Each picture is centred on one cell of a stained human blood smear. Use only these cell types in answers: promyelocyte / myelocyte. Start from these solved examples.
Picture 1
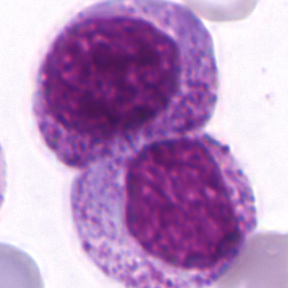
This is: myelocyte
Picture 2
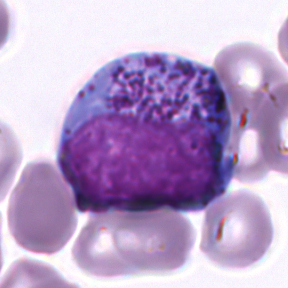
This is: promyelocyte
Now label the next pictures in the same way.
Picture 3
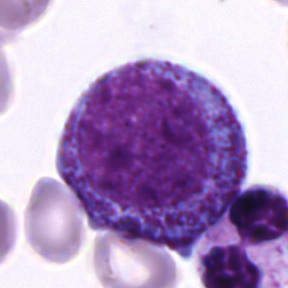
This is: promyelocyte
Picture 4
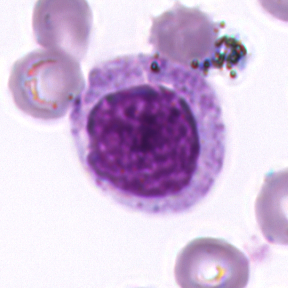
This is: myelocyte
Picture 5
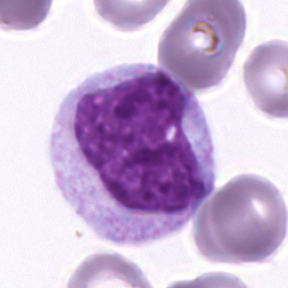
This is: myelocyte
